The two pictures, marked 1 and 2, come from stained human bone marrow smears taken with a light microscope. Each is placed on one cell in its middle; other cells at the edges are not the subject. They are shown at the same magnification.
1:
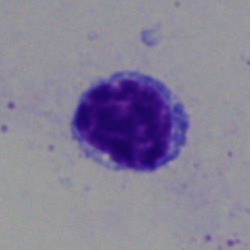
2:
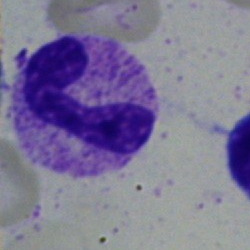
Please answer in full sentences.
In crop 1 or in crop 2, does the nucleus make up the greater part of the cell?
In crop 1 the nucleus takes up the larger part of its cell.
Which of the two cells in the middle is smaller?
Smaller is the cell in crop 1, and the other is about 2 times as large in area.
